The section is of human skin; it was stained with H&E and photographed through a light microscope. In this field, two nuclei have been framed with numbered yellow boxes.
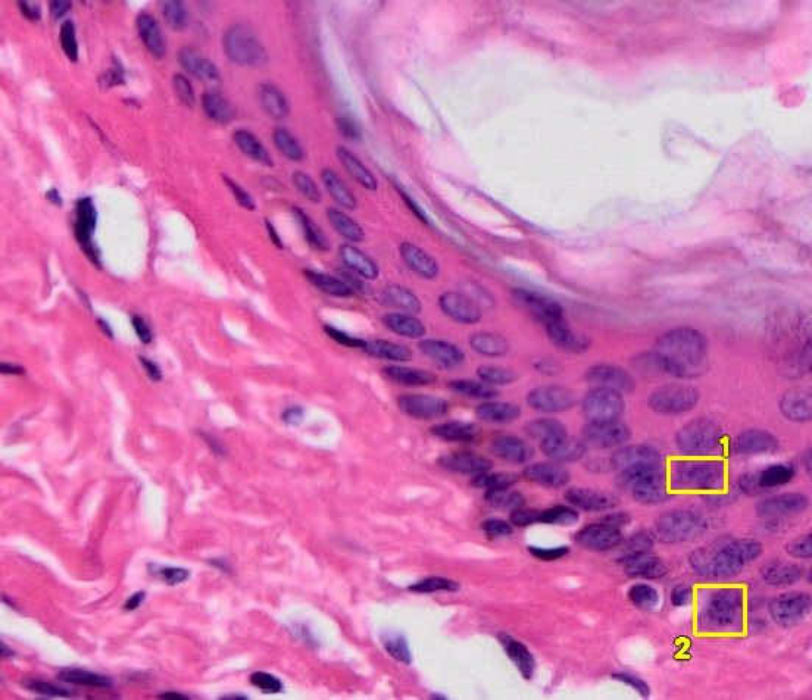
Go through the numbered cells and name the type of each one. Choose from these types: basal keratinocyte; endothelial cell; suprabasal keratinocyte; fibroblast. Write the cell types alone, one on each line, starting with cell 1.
suprabasal keratinocyte
basal keratinocyte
